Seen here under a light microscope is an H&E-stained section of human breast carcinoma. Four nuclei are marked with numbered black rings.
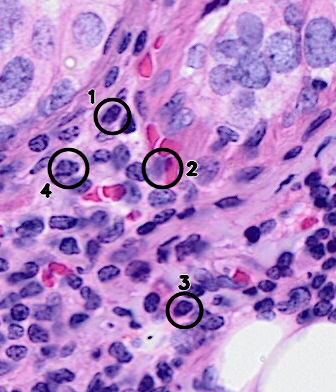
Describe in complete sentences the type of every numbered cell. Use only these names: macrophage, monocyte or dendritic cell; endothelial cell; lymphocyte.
Cell 1 is a lymphocyte, cell 2 is an endothelial cell, cell 3 is a lymphocyte and cell 4 is a lymphocyte.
